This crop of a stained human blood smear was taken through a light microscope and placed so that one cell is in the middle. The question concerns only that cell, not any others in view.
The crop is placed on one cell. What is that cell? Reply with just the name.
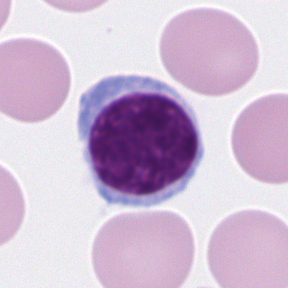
typical lymphocyte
